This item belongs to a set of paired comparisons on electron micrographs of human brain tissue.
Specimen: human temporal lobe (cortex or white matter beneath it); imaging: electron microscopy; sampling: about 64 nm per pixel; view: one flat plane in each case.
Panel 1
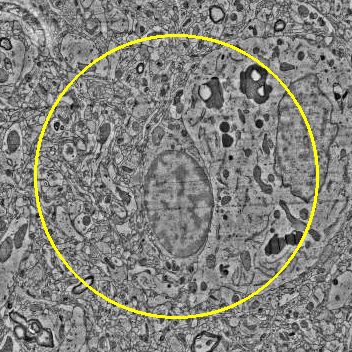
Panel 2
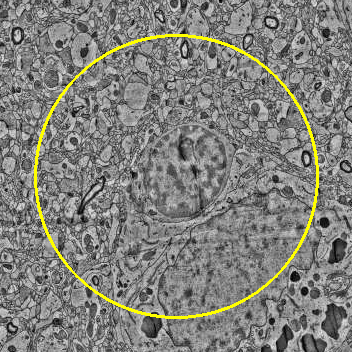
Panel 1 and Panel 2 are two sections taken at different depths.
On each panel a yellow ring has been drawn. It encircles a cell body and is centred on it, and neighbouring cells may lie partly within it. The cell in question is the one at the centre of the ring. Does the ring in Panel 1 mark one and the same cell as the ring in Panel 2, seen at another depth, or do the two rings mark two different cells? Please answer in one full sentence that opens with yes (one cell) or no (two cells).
No, a different cell sits inside each of the two rings.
